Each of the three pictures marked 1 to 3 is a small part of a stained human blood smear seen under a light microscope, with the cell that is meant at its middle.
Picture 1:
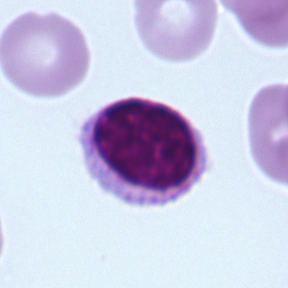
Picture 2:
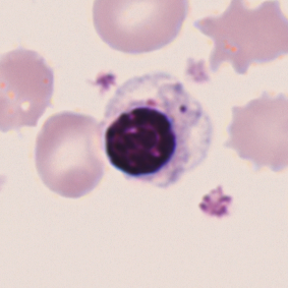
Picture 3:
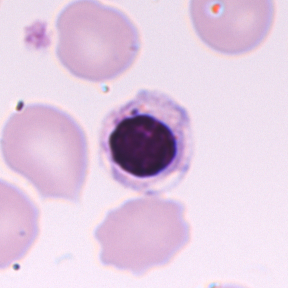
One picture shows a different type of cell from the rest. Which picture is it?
1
